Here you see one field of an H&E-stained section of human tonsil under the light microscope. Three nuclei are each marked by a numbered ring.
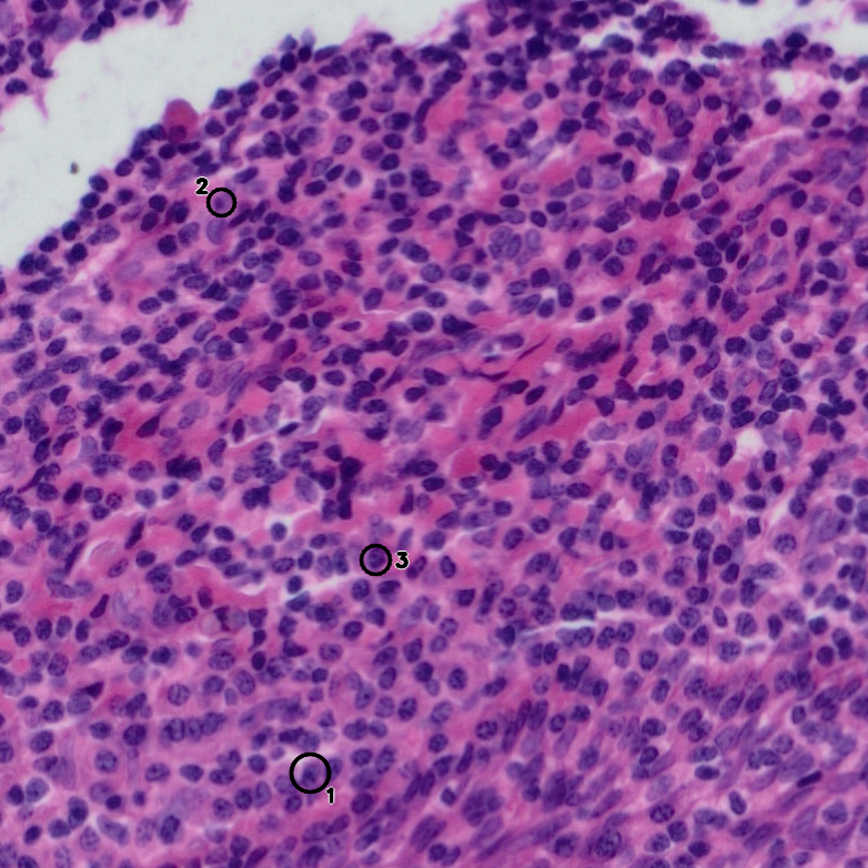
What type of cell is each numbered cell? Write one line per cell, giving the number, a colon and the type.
1: plasma cell
2: endothelial cell
3: plasma cell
